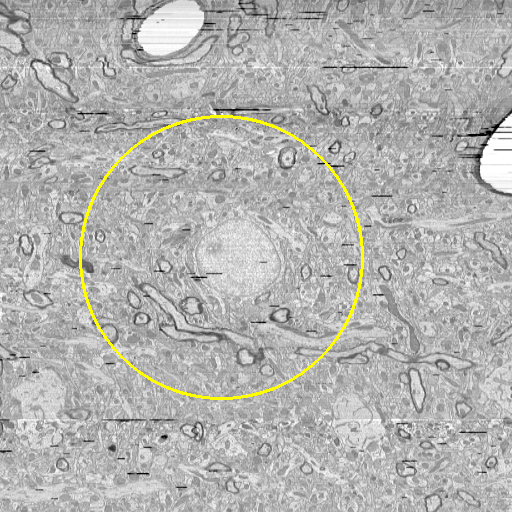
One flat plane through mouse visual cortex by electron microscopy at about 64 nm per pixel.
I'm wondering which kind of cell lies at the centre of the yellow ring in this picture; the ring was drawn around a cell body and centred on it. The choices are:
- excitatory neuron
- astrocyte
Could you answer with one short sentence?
At the centre of the ring lies an astrocyte.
